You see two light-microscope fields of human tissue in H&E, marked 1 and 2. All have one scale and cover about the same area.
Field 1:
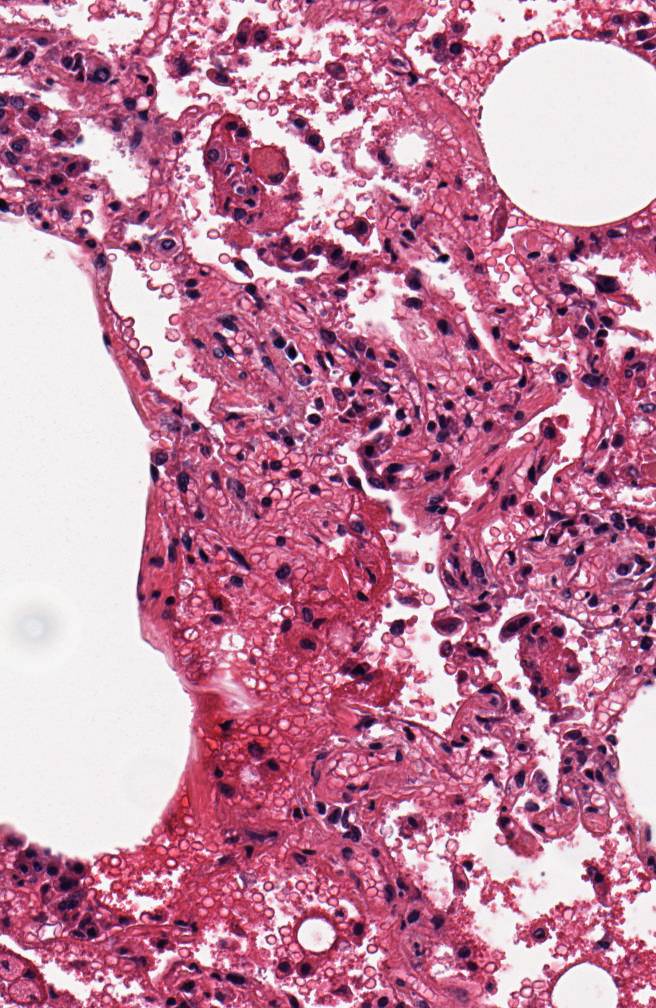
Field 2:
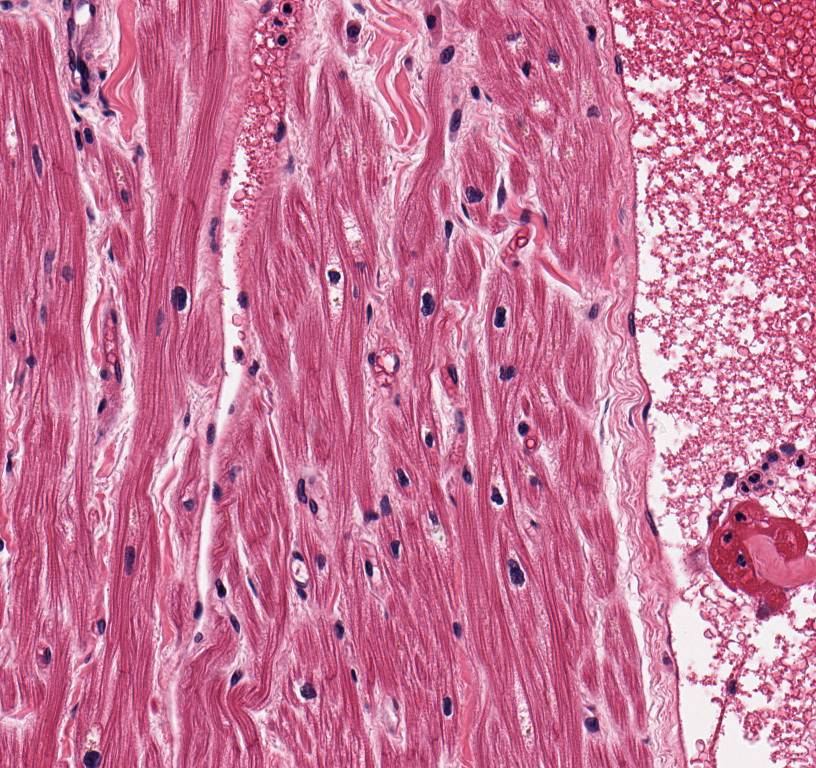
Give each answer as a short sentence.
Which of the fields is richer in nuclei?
It is field 1 that has more nuclei in it.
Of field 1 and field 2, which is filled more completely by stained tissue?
Field 2 has less white space.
